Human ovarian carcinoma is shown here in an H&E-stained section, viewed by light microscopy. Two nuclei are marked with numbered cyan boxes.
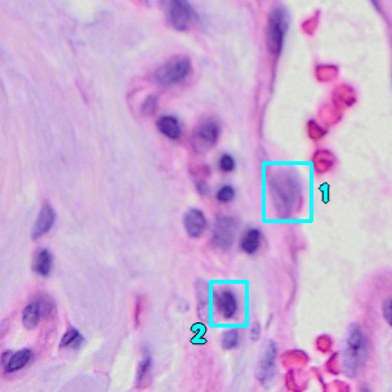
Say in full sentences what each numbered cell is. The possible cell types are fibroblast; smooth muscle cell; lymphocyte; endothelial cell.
Cell 1 is an endothelial cell and cell 2 is a lymphocyte.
